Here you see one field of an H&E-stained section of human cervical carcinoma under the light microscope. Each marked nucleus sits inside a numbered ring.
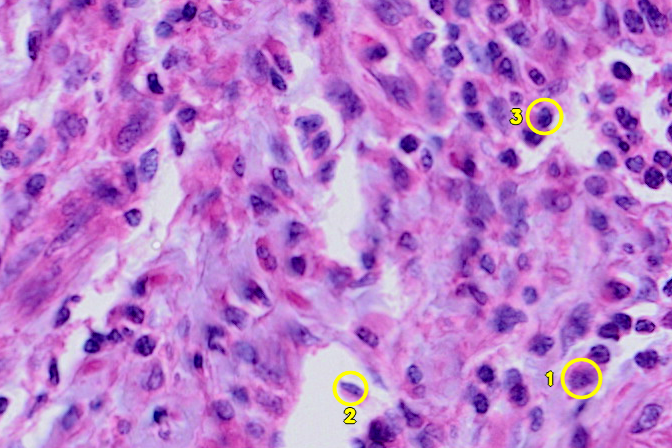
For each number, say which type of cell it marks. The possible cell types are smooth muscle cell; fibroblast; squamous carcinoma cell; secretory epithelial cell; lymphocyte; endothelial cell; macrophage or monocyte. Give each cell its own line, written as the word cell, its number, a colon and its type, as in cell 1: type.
cell 1: macrophage or monocyte
cell 2: lymphocyte
cell 3: lymphocyte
